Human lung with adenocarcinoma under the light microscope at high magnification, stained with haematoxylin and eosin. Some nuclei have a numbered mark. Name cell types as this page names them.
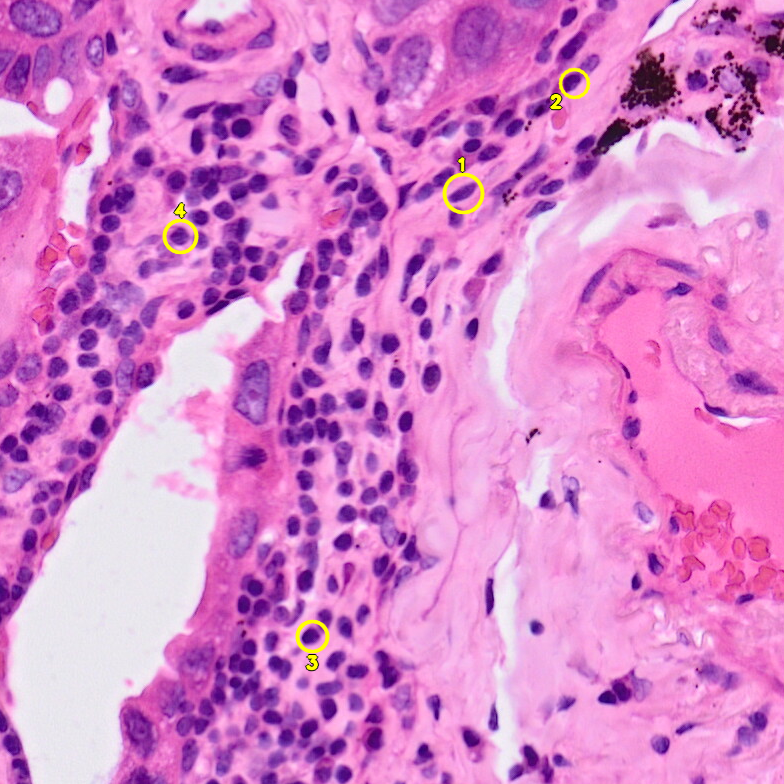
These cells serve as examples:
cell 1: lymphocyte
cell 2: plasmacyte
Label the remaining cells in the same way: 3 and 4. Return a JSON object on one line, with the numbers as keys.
{"3": "lymphocyte", "4": "lymphocyte"}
